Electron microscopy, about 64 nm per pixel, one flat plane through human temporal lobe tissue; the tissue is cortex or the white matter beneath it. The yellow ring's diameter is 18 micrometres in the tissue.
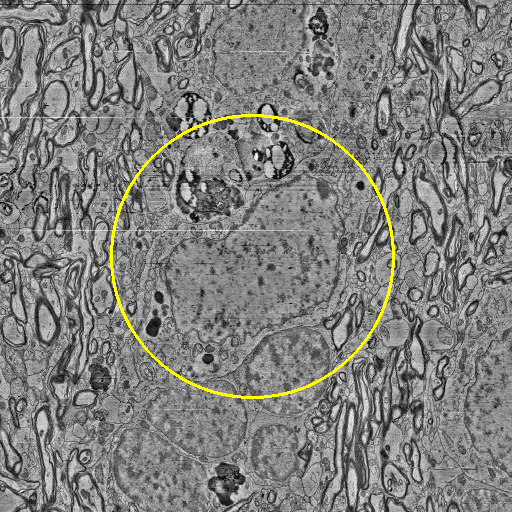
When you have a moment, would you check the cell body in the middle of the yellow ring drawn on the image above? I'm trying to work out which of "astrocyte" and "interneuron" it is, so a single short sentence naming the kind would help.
This cell body belongs to an interneuron.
